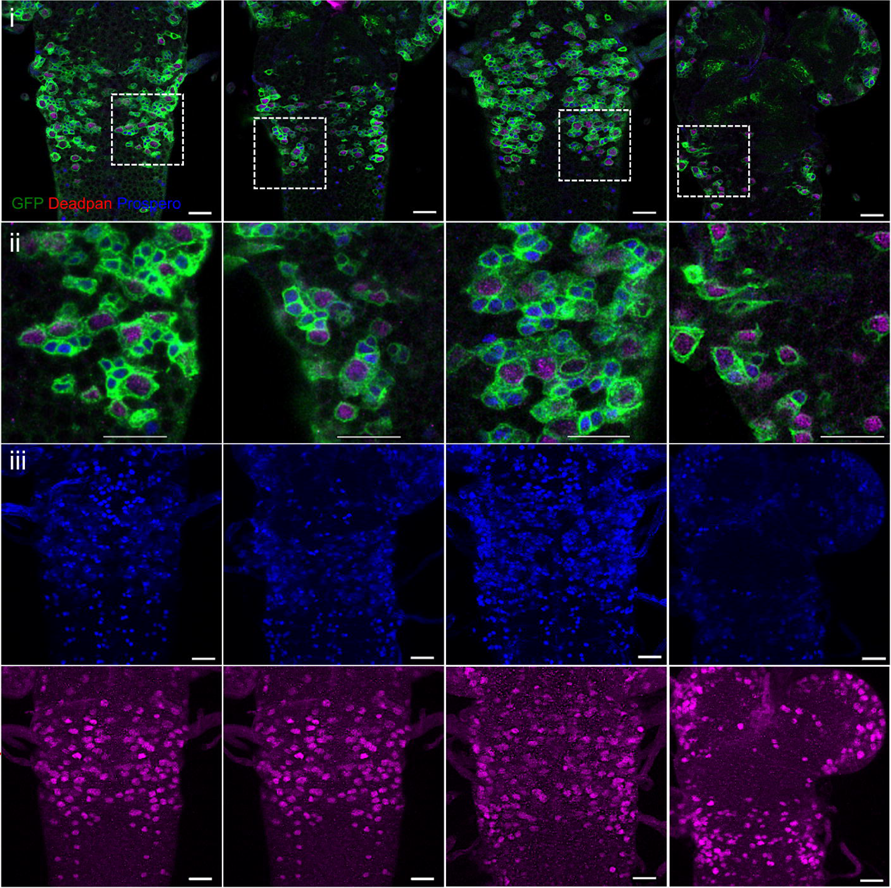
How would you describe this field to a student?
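In the enlarged views, smaller cells with blue nuclei sit pressed against these large cells, some of them wrapped by the same green membrane. In some columns the large cells stand more isolated, with fewer small blue-nucleated cells clustered beside them.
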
